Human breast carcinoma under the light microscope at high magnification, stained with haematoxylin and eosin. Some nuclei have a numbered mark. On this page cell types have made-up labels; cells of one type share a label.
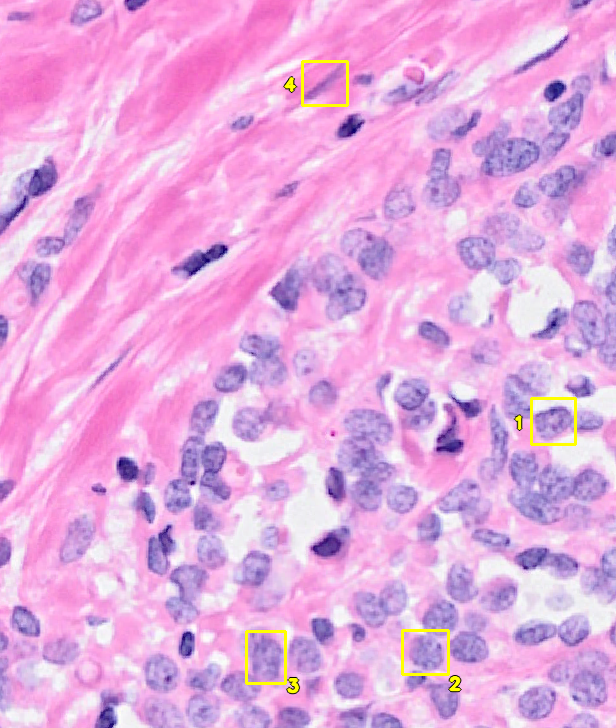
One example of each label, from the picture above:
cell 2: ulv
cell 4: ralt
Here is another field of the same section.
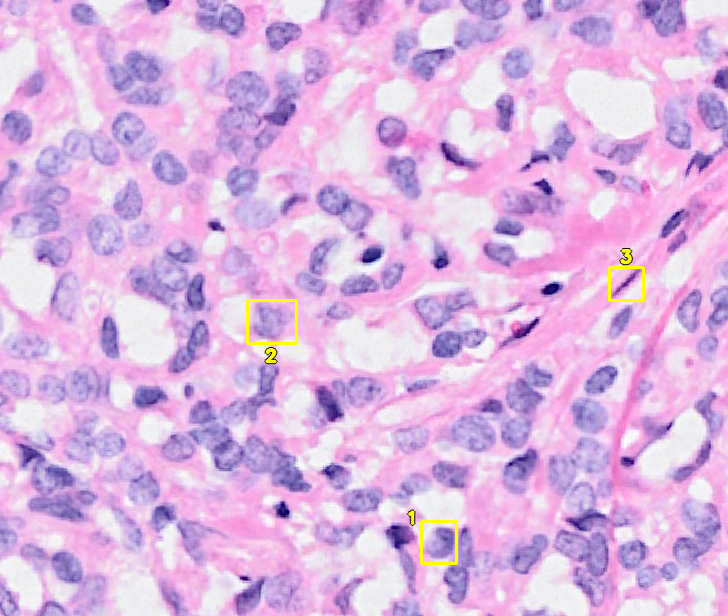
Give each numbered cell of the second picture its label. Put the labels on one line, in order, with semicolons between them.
ulv; ulv; ralt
